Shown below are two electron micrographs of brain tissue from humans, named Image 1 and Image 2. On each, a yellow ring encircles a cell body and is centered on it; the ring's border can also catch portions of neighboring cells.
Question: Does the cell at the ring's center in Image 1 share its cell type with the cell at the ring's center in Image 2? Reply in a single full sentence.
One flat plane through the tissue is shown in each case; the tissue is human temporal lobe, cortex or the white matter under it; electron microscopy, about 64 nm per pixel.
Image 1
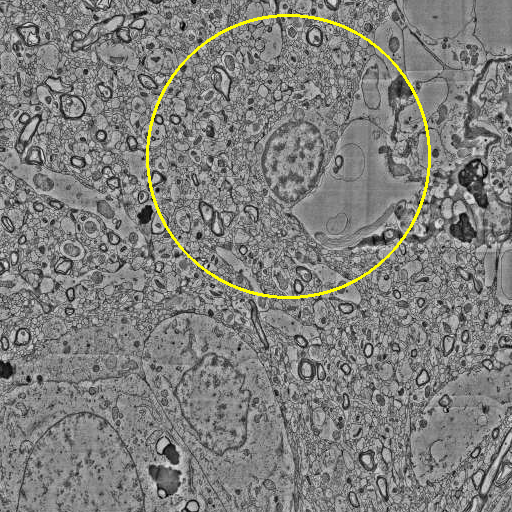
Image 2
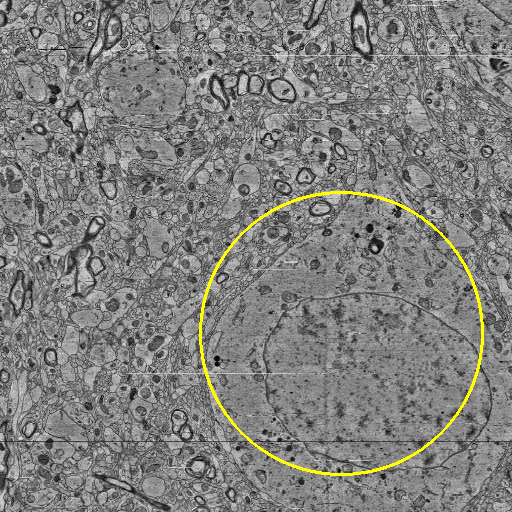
No, the two cells at the ring centers, in Image 1 and Image 2, are of two cell types.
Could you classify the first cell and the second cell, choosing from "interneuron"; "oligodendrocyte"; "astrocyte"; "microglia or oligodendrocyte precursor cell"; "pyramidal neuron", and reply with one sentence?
The second cell is a pyramidal neuron, while the first is an oligodendrocyte.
